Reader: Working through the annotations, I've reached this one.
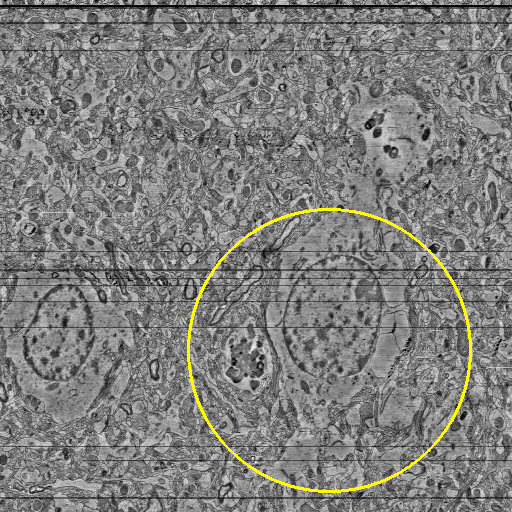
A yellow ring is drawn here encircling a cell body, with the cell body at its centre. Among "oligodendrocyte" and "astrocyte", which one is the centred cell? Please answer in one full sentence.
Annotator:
The cell body at the centre of the yellow ring in this image belongs to an astrocyte.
